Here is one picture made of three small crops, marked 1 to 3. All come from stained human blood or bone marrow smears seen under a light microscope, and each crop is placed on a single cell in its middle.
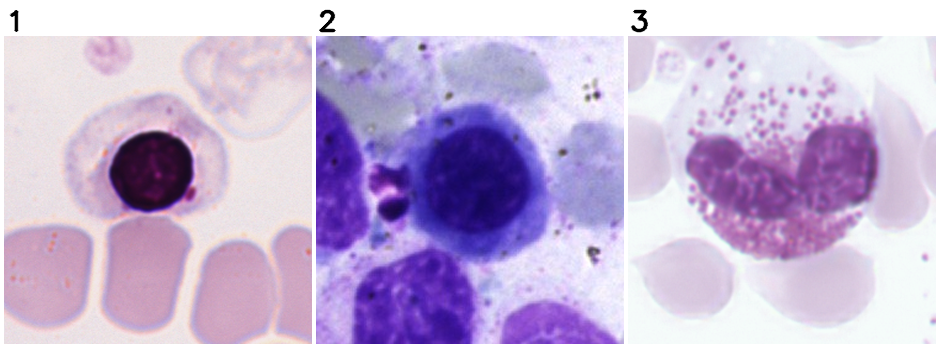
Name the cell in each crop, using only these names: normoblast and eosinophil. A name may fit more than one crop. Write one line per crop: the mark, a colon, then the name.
1: normoblast
2: normoblast
3: eosinophil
